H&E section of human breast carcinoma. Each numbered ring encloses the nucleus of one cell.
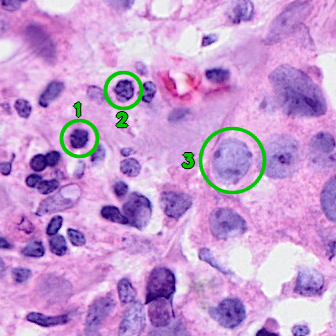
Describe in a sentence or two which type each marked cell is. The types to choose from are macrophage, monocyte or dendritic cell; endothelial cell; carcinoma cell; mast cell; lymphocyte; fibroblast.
Cells 1 and 2 are lymphocytes. Cell 3 is a carcinoma cell.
